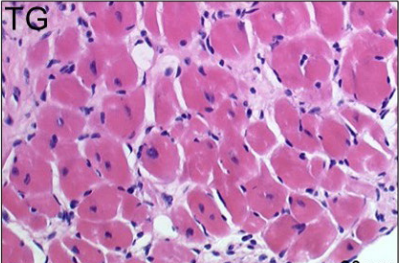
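Heart muscle cells cut across appear as large, rounded pink profiles, many with a single central dark purple nucleus, separated by pale pink interstitial spaces holding small elongated nuclei. The muscle cells are enlarged, consistent with cardiomyocyte hypertrophy.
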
